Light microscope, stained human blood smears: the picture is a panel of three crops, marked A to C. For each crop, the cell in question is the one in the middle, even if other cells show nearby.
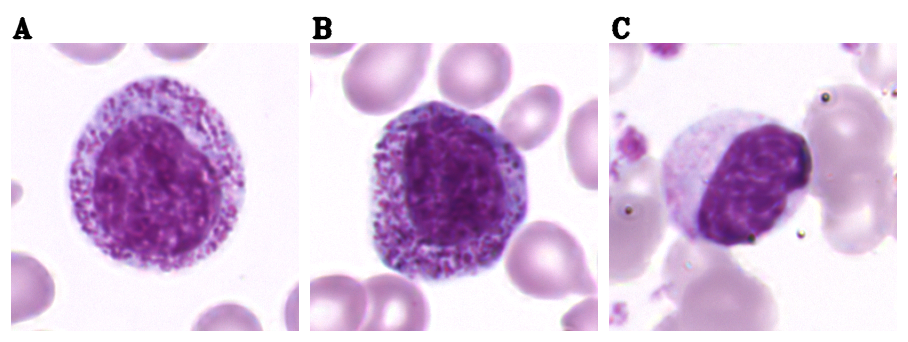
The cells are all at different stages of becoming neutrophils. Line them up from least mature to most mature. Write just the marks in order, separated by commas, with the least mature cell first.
B, A, C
